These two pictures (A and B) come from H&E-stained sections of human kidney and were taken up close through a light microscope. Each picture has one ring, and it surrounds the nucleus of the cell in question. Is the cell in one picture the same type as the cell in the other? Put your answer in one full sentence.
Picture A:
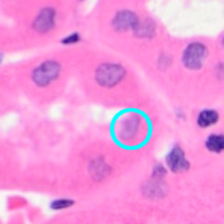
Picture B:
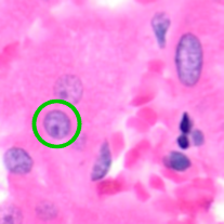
Yes, both cells are proximal tubule cells.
